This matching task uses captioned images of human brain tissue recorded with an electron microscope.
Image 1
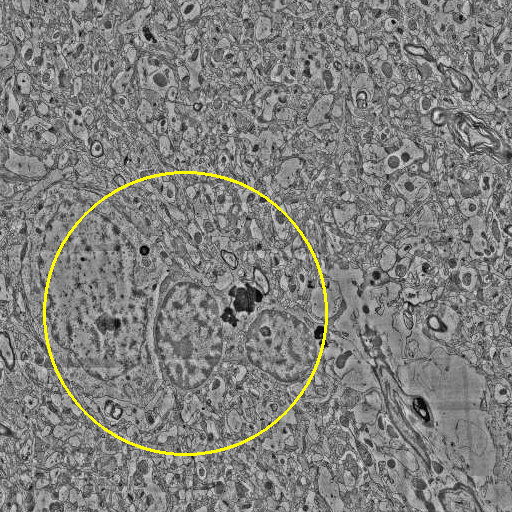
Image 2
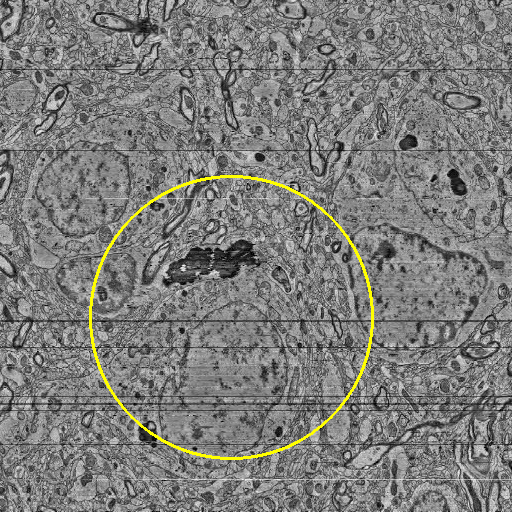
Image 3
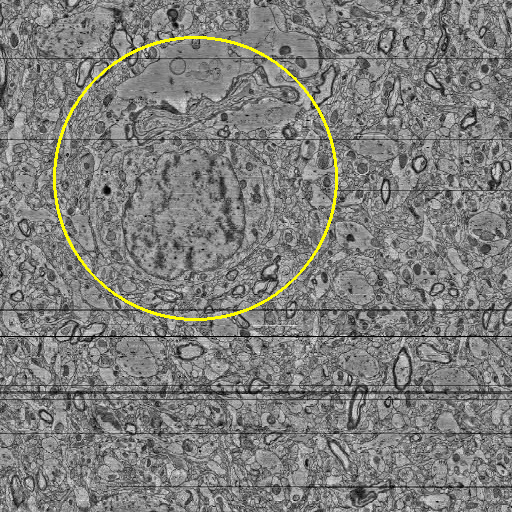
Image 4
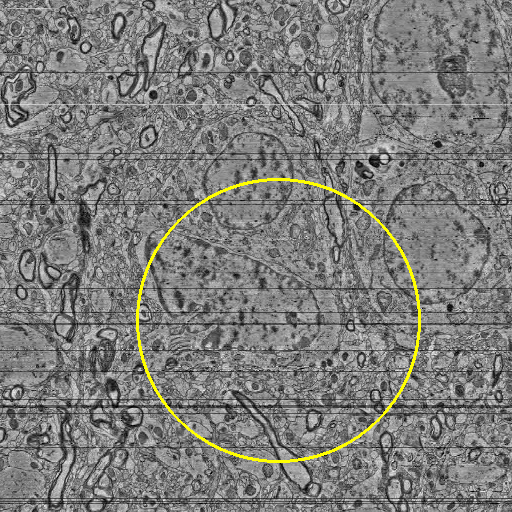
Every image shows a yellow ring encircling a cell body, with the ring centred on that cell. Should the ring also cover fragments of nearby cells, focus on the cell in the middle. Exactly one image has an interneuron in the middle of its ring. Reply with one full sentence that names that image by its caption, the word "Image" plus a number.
Image 3 shows the cell in question at the centre of its yellow ring.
